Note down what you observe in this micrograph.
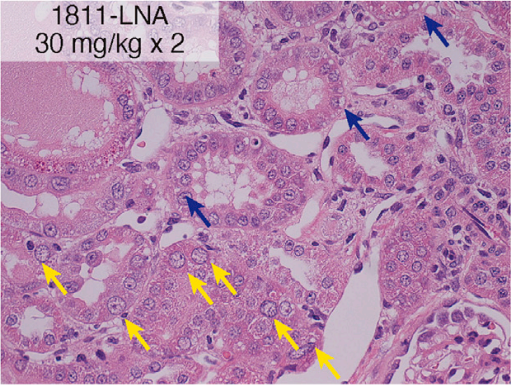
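This is kidney cortex with closely packed tubules cut in cross and oblique section, lined by cuboidal tubular epithelium with pink cytoplasm. Many of the epithelial nuclei are enlarged, round and pale, with open chromatin and prominent nucleoli, and several of these are marked by yellow arrows. Some tubules show vacuolation of the epithelium, with clear spaces in the cytoplasm of the lining cells around the lumen, marked by blue arrows. A dilated tubule at upper left holds pale pink, homogeneous material in its lumen. Thin interstitial spaces with small dark nuclei lie between the tubules.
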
